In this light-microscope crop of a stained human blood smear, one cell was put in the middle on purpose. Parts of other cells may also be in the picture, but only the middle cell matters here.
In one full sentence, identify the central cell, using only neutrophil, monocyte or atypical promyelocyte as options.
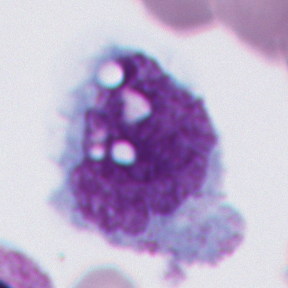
The middle of this crop holds a monocyte.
